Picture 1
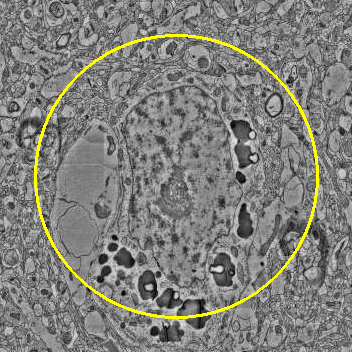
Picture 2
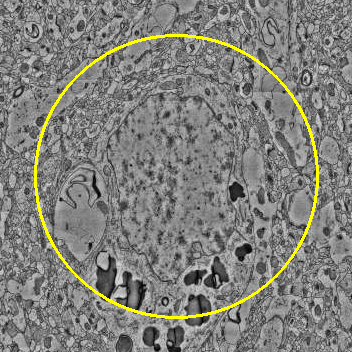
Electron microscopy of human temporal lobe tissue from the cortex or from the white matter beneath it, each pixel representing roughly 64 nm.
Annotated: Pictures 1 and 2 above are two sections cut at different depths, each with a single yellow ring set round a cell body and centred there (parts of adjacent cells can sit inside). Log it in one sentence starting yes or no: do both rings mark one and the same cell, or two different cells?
Yes, the marked cell is the same in both rings.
